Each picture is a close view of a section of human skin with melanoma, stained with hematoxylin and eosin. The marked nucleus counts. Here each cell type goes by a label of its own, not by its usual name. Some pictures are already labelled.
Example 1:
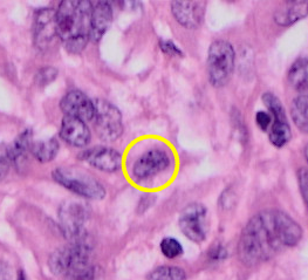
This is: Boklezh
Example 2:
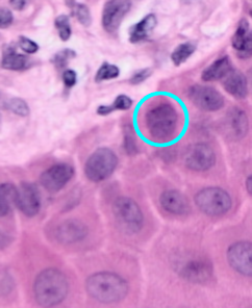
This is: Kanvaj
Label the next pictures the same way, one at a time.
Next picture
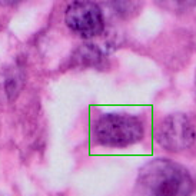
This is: Boklezh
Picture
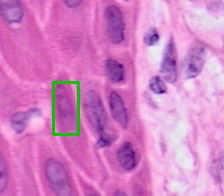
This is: Kanvaj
